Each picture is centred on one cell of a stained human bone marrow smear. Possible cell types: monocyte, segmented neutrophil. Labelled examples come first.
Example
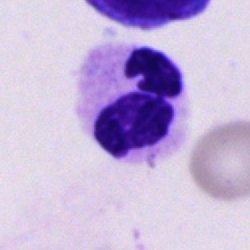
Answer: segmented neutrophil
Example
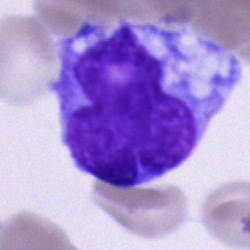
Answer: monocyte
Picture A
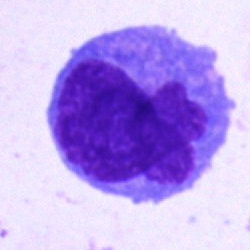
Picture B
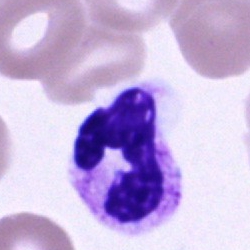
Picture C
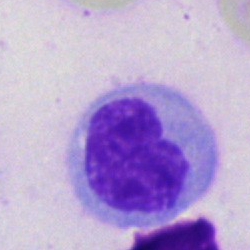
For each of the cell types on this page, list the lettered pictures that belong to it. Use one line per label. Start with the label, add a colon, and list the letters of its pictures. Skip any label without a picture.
monocyte: A, C
segmented neutrophil: B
